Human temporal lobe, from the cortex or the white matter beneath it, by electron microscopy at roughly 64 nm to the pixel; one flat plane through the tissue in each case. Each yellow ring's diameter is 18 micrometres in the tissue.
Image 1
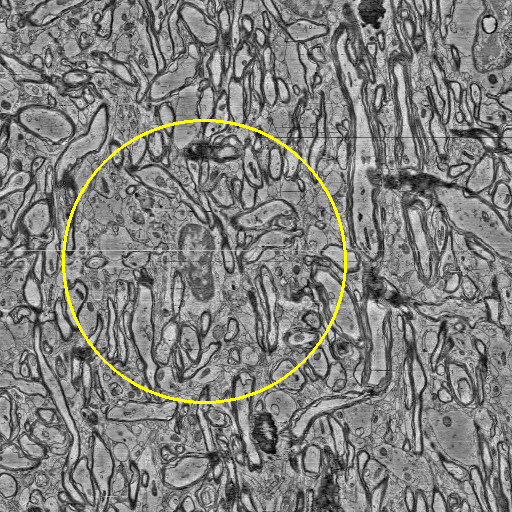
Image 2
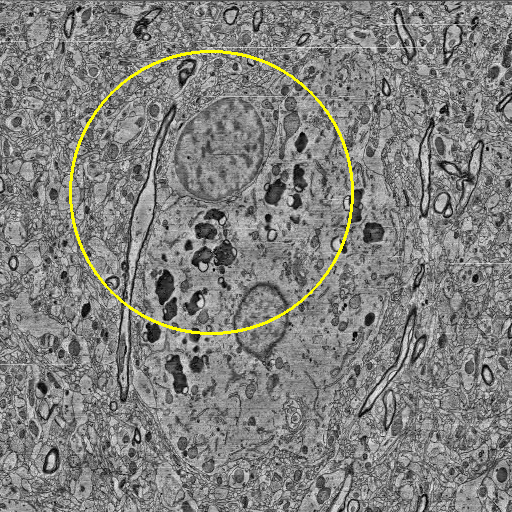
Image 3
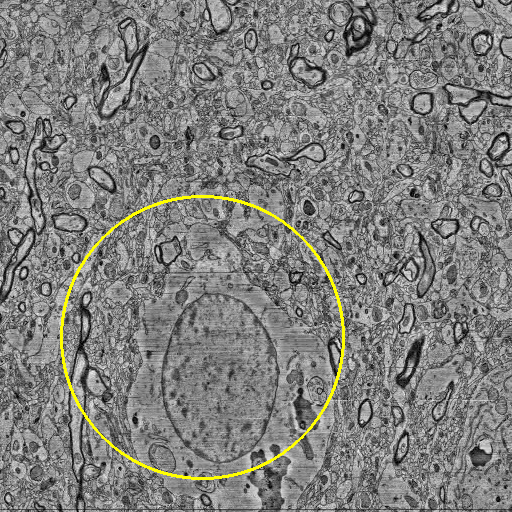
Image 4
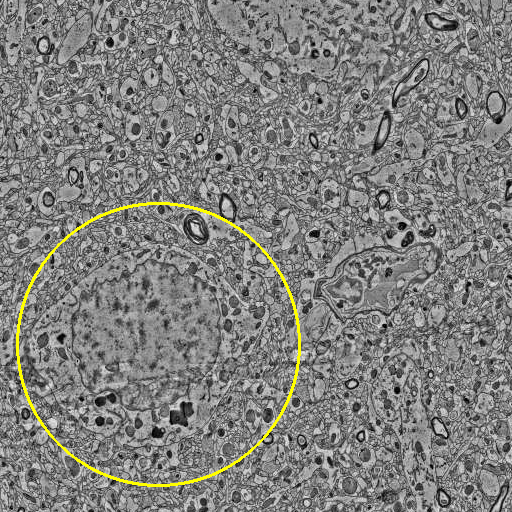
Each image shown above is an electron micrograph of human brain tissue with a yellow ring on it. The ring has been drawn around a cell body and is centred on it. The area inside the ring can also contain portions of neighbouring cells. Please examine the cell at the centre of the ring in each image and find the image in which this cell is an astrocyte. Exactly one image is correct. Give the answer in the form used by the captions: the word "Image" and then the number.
Image 3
